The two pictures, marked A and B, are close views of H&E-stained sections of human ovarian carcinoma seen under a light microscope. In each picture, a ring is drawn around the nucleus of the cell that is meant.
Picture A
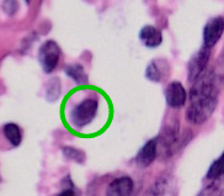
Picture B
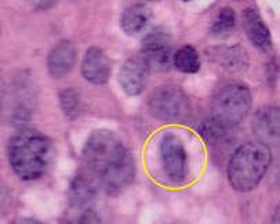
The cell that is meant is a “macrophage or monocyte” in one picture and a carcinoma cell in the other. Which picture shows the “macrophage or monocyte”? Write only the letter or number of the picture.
B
